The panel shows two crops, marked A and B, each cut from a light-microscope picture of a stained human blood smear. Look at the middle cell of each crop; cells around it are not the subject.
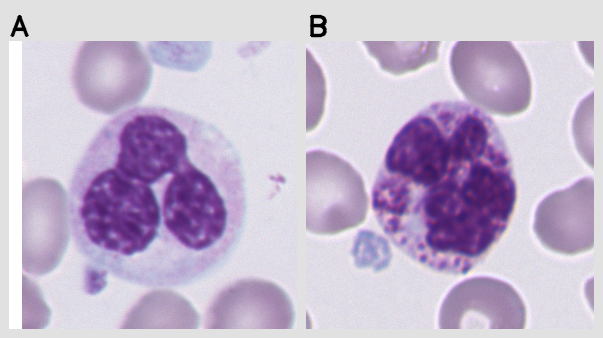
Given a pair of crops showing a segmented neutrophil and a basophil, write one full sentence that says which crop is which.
The crop marked A shows a segmented neutrophil; the crop marked B shows a basophil.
